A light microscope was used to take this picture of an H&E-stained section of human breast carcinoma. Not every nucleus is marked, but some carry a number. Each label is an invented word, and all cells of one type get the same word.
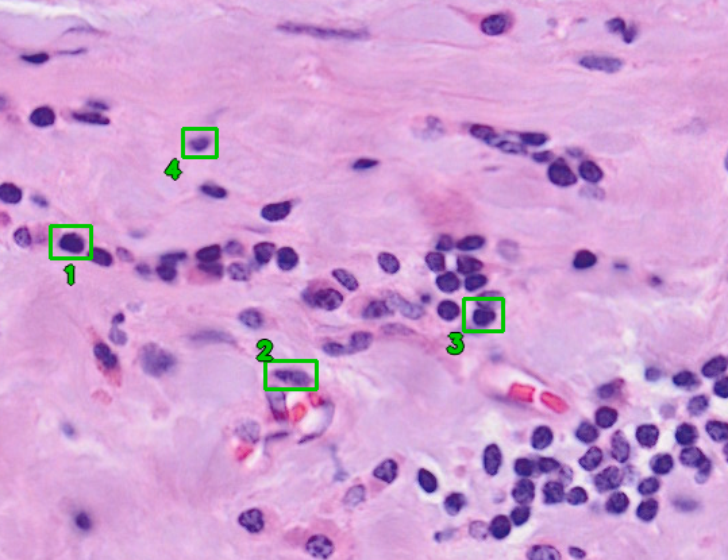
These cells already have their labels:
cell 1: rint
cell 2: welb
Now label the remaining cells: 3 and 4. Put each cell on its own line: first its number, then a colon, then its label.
3: rint
4: rint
